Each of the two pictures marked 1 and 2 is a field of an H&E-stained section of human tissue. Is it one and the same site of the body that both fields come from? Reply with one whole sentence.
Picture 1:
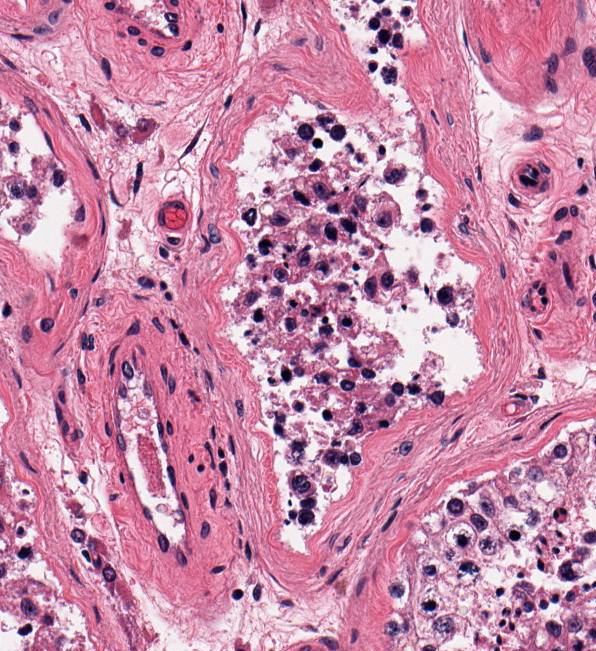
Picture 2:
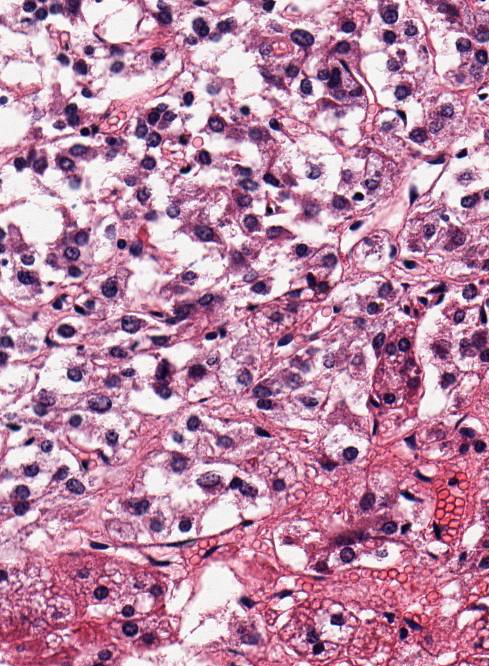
No: picture 1 comes from the testis, but picture 2 comes from the adrenal gland.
